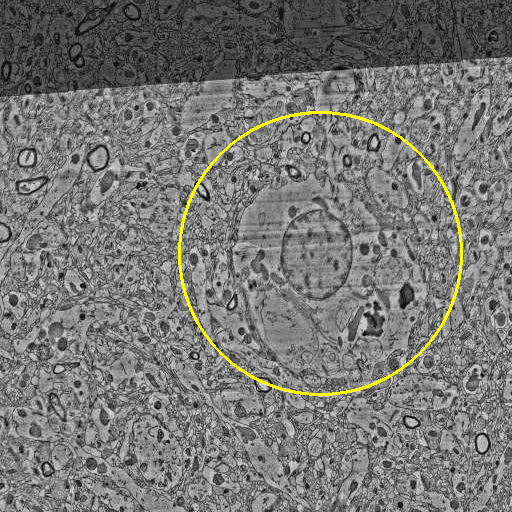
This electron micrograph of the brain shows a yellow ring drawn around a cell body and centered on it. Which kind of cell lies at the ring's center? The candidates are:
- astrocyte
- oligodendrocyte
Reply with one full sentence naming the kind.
The cell lying at the ring's center in this micrograph is an astrocyte.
